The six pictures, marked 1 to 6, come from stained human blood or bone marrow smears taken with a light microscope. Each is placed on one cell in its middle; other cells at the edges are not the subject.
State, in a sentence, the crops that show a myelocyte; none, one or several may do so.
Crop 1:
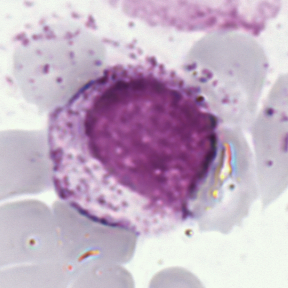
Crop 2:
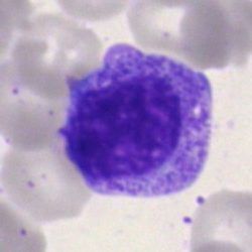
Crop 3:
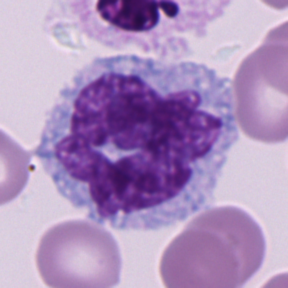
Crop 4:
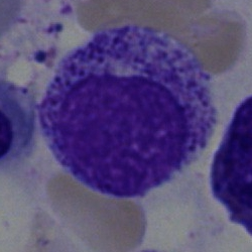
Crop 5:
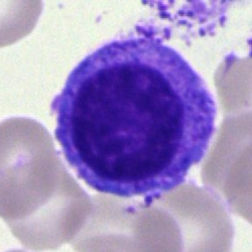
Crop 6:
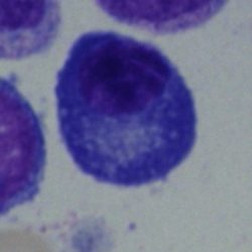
Crops 1, 2, 4 and 5 each contain a central cell, and these cells are myelocytes.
